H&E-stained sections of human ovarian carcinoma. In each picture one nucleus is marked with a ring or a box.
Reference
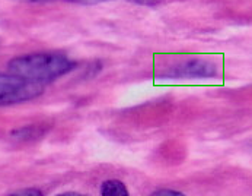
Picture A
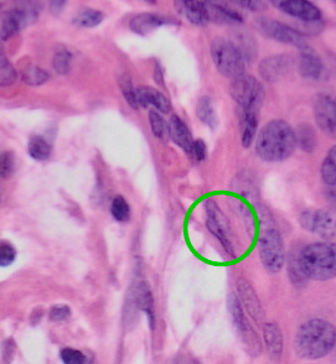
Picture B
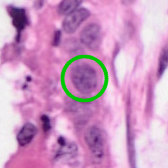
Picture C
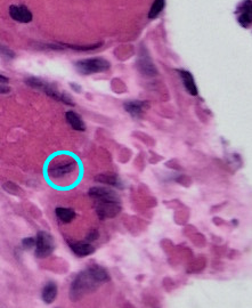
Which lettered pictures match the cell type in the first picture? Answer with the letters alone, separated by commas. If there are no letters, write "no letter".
no letter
